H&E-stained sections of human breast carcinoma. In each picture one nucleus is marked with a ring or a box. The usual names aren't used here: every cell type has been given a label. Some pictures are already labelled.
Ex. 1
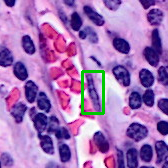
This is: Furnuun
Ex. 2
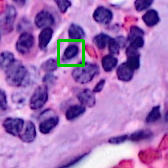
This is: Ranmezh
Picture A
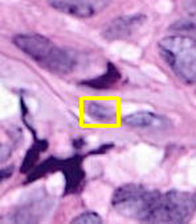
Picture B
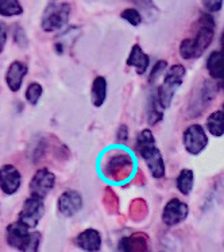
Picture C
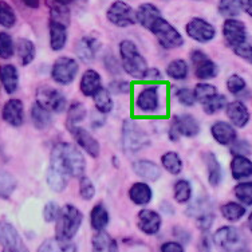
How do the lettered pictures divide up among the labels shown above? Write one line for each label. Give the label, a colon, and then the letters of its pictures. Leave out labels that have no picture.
Furnuun: A, B
Ranmezh: C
